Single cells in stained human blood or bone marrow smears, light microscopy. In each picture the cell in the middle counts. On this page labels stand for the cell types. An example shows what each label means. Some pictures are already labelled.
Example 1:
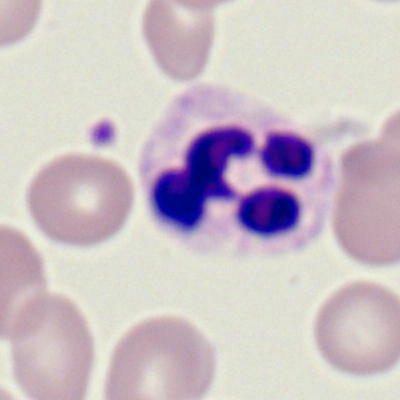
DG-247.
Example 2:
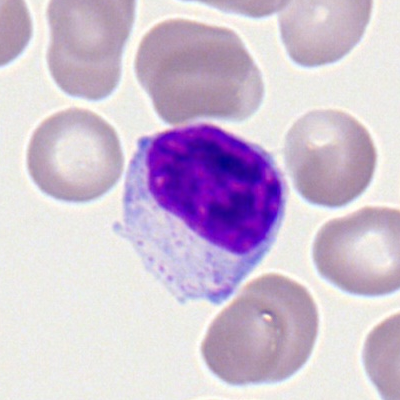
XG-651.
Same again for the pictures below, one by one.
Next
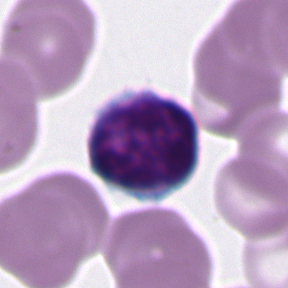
XG-651.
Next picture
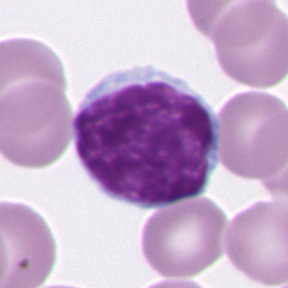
XG-651.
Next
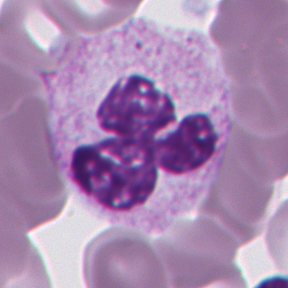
DG-247.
